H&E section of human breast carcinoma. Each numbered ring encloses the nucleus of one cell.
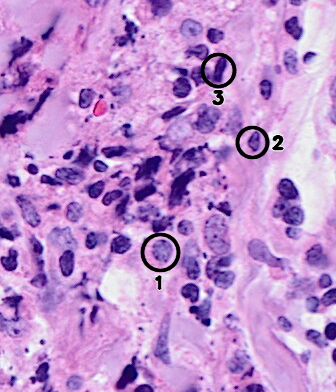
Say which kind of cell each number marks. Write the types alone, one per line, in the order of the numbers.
mast cell
lymphocyte
lymphocyte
